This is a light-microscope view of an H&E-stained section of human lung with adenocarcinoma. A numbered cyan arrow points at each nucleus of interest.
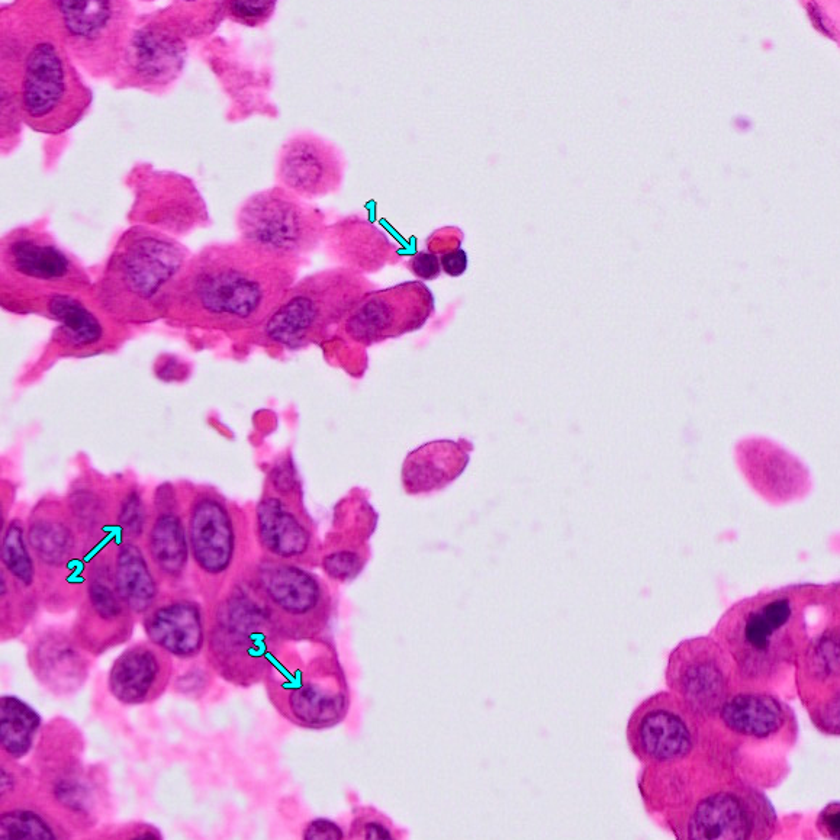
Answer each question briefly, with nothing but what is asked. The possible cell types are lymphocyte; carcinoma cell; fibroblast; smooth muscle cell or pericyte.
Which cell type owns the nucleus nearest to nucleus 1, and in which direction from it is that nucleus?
a lymphocyte, to the right of nucleus 1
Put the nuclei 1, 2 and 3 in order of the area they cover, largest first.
3, 2, 1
